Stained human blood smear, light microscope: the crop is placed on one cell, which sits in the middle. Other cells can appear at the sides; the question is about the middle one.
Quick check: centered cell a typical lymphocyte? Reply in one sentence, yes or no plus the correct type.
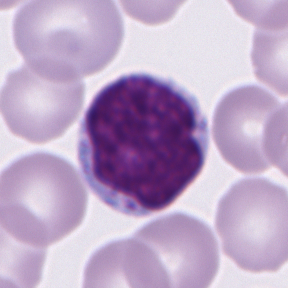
Yes, this is a typical lymphocyte, the cell in the middle of the crop.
